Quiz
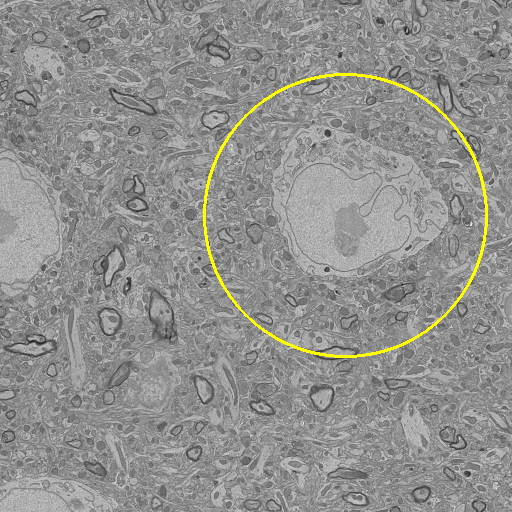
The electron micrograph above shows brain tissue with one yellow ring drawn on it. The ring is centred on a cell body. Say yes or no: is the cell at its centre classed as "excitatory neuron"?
yes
